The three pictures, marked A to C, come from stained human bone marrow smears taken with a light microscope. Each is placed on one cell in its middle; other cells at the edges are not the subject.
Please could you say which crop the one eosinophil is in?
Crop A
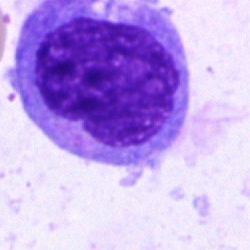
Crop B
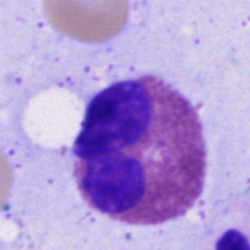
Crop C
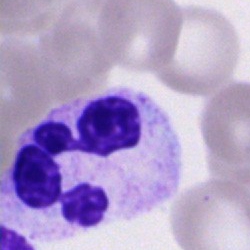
B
